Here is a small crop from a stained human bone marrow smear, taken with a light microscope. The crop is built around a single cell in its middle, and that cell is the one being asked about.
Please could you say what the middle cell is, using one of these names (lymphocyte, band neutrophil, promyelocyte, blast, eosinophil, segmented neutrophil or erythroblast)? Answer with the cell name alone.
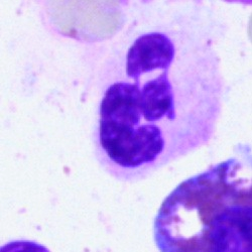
segmented neutrophil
